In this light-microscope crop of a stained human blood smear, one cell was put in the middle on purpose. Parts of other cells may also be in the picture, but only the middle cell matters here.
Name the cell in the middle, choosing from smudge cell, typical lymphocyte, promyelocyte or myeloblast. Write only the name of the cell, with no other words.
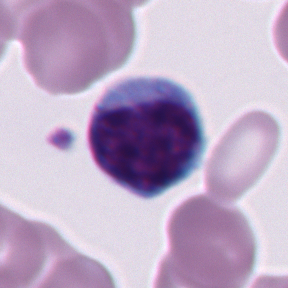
typical lymphocyte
